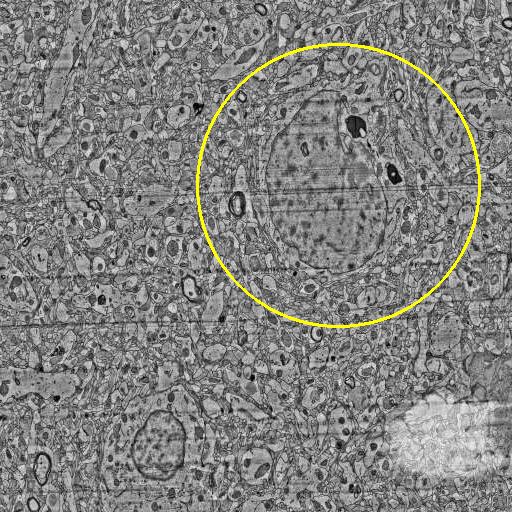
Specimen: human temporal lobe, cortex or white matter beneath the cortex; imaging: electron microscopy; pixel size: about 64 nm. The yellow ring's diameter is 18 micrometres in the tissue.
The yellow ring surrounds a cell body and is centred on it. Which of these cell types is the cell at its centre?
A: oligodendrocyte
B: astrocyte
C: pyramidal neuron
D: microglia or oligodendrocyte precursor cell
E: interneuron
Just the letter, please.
E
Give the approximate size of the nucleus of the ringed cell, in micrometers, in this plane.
In this plane, about 11 micrometres in length and 8 in width.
